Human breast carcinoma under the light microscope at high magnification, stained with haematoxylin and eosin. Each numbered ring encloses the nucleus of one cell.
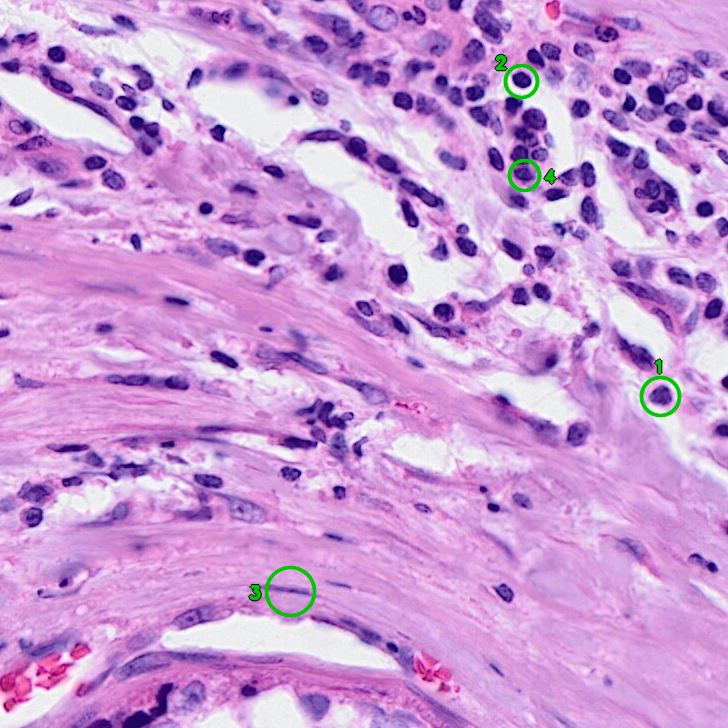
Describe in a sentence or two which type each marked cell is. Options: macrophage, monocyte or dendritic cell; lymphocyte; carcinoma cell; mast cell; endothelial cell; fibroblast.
Cell 1 is a lymphocyte, cell 2 is a lymphocyte, cell 3 is a fibroblast and cell 4 is a lymphocyte.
